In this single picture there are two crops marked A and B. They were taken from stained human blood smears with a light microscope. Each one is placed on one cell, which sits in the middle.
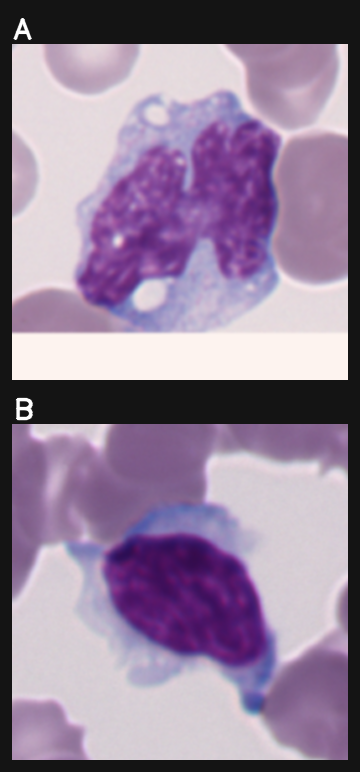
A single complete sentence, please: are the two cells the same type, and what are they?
No, crop A shows a monocyte, and the cell in crop B is a hairy cell.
